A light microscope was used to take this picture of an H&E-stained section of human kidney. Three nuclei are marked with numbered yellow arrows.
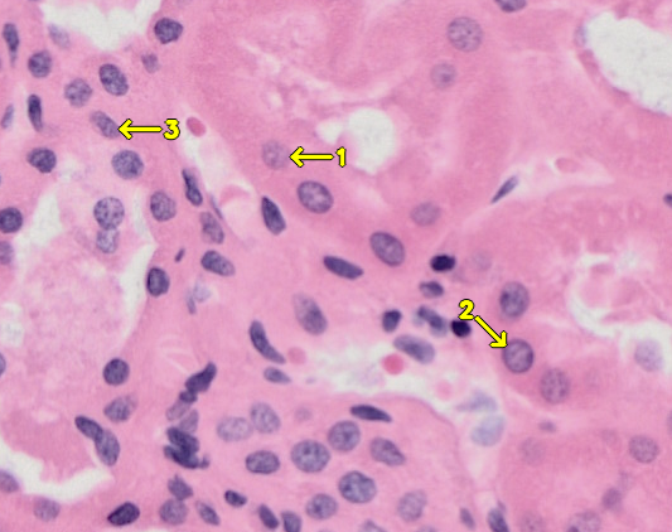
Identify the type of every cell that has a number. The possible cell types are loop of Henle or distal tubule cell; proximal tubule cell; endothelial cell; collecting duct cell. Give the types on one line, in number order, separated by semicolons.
proximal tubule cell; proximal tubule cell; loop of Henle or distal tubule cell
